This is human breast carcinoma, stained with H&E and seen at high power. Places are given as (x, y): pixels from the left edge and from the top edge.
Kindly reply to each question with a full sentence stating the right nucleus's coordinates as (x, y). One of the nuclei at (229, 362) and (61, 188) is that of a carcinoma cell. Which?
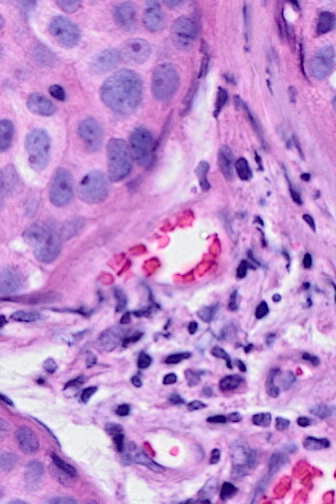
The nucleus at (61, 188) is the one of the two that belongs to a carcinoma cell.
